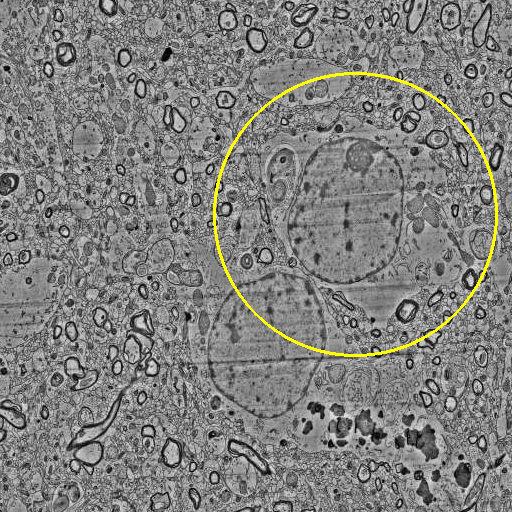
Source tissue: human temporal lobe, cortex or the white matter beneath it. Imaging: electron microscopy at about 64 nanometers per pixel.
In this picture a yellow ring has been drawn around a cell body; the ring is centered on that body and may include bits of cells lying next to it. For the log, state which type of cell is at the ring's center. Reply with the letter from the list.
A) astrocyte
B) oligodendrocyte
A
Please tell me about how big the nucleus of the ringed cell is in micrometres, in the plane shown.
Roughly 9 by 7 micrometres is the size of the nucleus in this plane.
